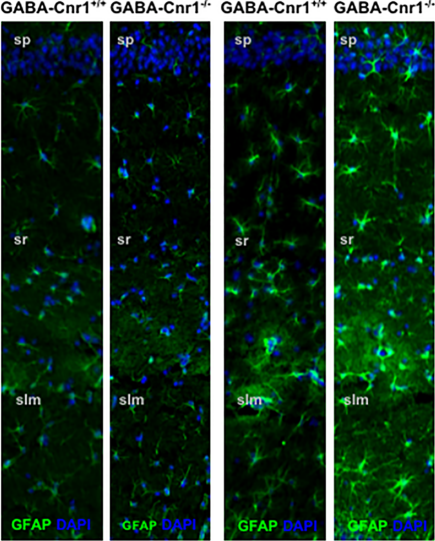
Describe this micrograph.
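At the top of each strip, a band of densely packed blue nuclei marks the pyramidal cell layer. The strips differ in how much green they carry. In some, the astrocytes are sparse and delicate, while in others they are larger and more intensely green, with thicker, more branched processes filling much of the field.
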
